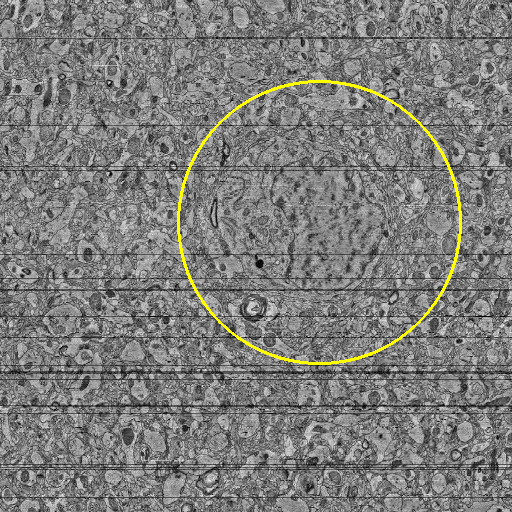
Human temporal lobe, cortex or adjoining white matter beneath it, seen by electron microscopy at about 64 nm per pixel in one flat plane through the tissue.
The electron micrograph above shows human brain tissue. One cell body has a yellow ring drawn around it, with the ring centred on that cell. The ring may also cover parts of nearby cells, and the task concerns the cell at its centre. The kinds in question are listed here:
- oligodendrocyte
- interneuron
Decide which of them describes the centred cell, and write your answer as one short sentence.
The centred cell is an interneuron.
